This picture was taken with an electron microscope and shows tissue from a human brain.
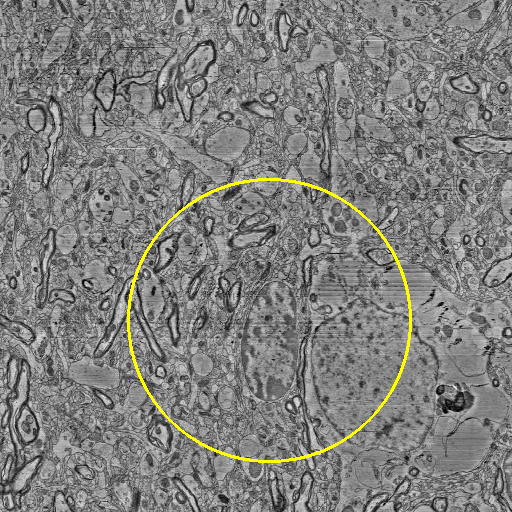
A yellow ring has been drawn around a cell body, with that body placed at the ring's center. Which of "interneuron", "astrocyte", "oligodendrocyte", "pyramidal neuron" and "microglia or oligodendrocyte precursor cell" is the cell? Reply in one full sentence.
In this picture, a microglial cell or oligodendrocyte precursor cell is the cell at the center of the yellow ring.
